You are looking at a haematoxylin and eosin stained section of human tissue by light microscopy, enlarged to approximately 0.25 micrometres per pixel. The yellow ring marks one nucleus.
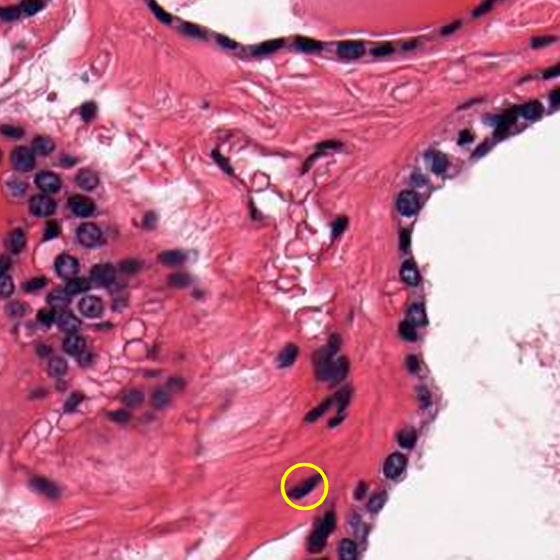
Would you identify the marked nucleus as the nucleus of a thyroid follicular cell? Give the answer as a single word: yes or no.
no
